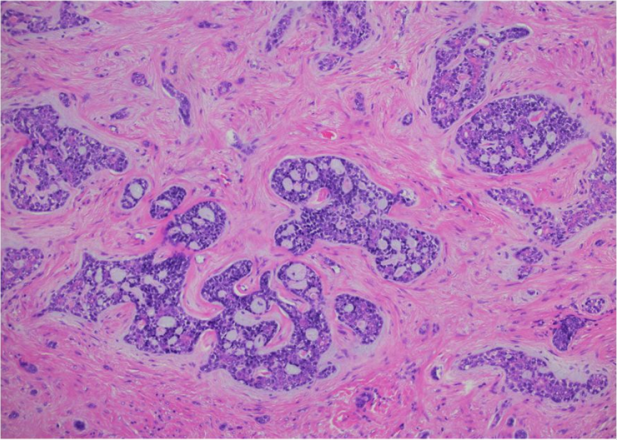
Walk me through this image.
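Here an adenoid cystic carcinoma grows in a cribriform pattern: irregular, rounded and branching nests of small, dark-staining tumor cells sit within dense pink fibrous stroma. The spaces contain pale bluish-grey or faintly pink acellular material, the myxoid and hyalinized basement membrane material. The tumor cells have small, crowded, darkly stained nuclei and scant cytoplasm, so the nests look densely purple against the pale collagenous background.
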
